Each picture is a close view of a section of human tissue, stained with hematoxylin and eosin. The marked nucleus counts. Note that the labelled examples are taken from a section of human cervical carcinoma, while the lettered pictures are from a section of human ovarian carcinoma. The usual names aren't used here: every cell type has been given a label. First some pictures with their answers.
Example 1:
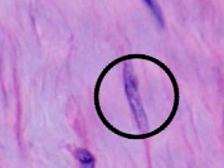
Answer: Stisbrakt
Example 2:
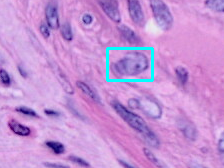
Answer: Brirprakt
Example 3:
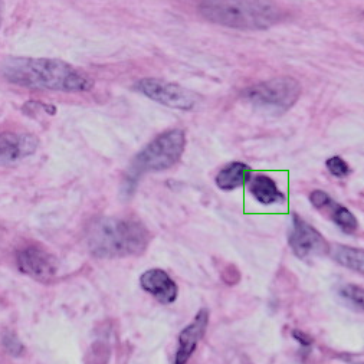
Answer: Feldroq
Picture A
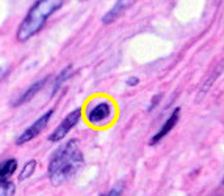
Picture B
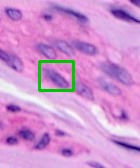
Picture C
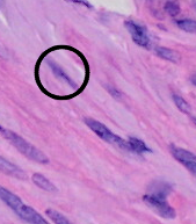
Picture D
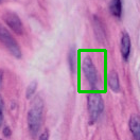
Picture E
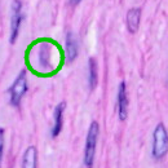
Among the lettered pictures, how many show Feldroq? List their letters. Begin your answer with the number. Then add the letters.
1, namely A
